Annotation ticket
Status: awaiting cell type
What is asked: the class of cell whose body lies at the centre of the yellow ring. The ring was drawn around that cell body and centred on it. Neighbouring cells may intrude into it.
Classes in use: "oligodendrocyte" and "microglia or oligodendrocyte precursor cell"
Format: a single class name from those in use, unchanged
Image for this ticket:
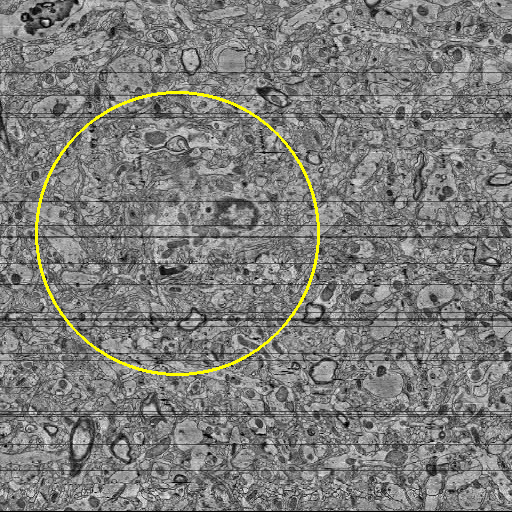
microglia or oligodendrocyte precursor cell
